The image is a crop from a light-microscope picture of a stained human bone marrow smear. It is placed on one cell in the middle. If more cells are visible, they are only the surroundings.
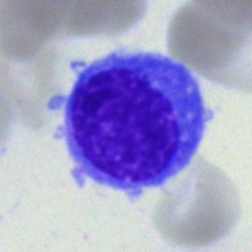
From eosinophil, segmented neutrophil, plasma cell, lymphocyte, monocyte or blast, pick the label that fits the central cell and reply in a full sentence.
The cell centred in this crop is categorized as a blast.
